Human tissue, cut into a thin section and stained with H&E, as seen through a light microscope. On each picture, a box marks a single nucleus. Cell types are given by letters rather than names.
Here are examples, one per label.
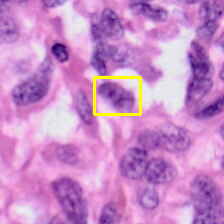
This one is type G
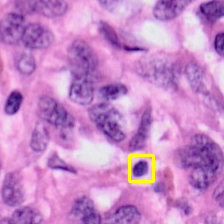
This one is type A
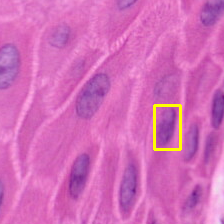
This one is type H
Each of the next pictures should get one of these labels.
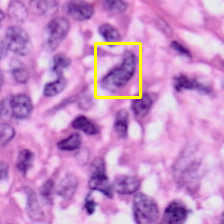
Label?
type G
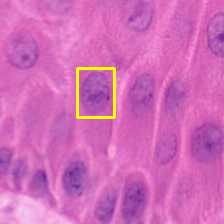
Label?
type H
